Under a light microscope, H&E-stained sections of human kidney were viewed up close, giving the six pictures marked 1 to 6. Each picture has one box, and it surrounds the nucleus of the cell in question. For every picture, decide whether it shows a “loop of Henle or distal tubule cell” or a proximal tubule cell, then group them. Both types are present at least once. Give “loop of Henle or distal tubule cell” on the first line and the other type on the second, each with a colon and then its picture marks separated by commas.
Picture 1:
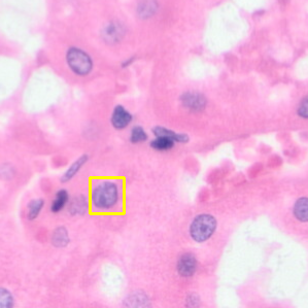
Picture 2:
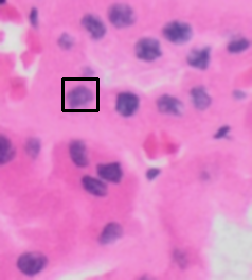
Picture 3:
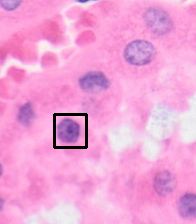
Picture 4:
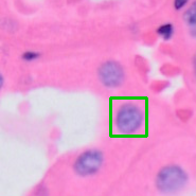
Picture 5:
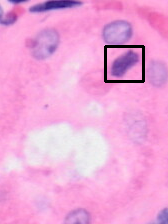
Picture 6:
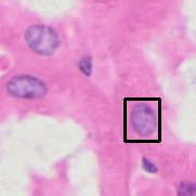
loop of Henle or distal tubule cell: 2, 4
proximal tubule cell: 1, 3, 5, 6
